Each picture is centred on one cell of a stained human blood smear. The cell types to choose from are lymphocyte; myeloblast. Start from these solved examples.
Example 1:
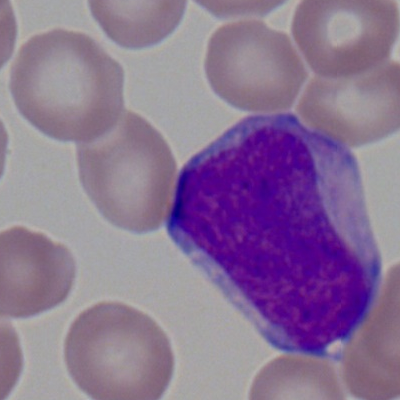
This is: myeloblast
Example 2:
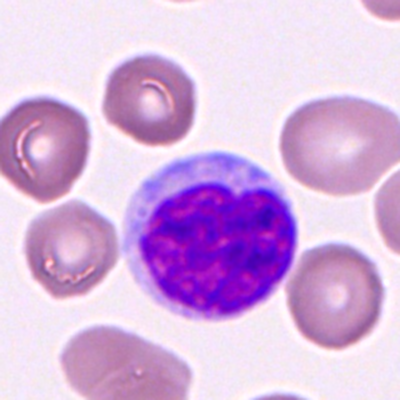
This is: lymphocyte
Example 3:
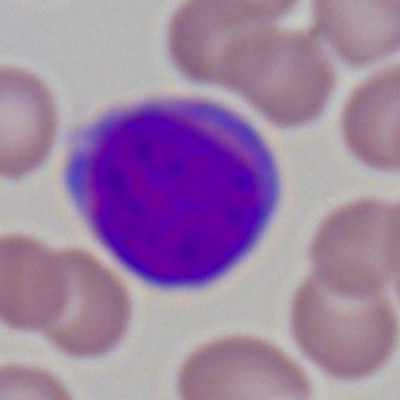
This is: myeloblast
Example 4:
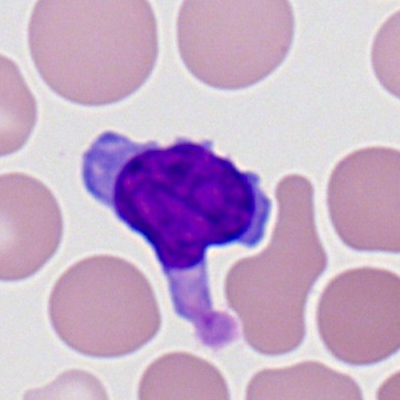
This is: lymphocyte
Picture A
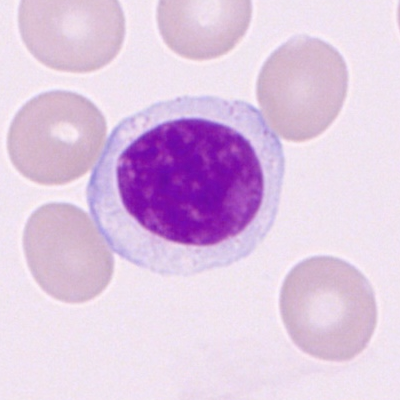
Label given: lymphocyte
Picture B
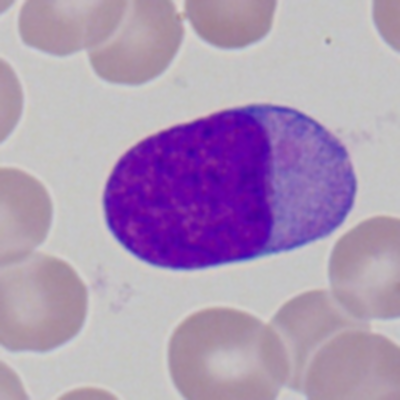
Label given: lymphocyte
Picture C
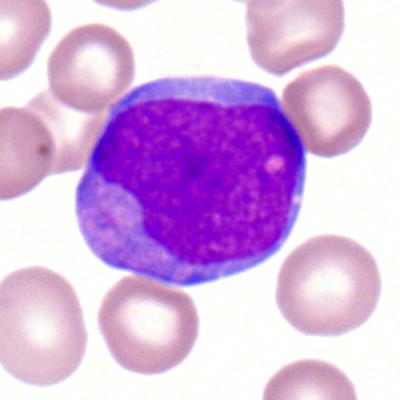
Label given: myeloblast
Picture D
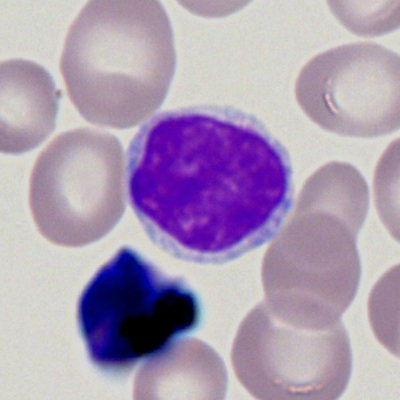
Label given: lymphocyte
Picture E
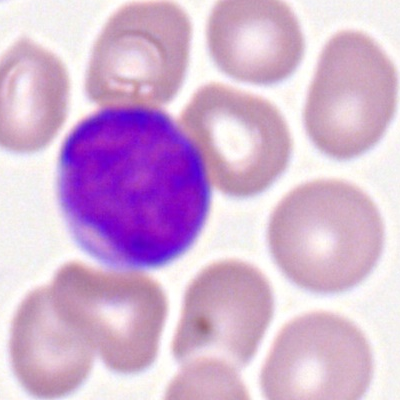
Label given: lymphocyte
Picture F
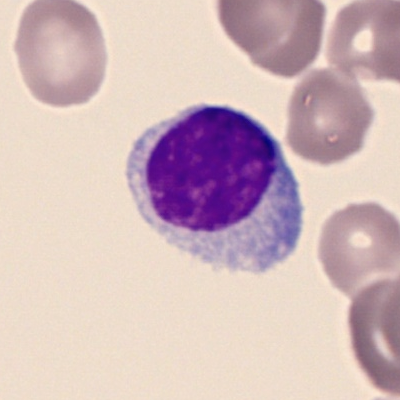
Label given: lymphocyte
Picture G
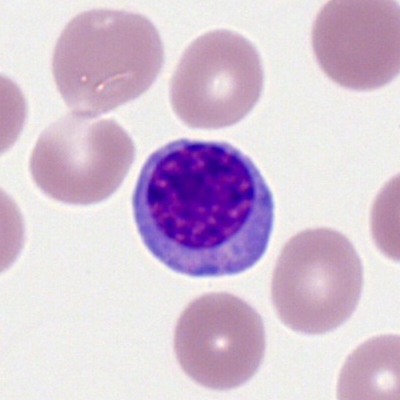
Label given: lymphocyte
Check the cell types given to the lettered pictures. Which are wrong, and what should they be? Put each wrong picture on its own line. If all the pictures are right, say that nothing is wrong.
B: not lymphocyte but myeloblast
E: not lymphocyte but myeloblast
